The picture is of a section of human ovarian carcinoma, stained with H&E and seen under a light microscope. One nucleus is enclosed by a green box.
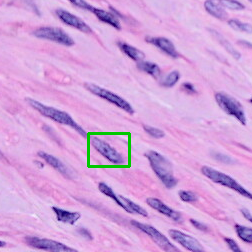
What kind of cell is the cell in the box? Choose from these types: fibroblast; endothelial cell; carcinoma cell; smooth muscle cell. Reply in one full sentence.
Cell type answer for this item: the cell in the box is a smooth muscle cell.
